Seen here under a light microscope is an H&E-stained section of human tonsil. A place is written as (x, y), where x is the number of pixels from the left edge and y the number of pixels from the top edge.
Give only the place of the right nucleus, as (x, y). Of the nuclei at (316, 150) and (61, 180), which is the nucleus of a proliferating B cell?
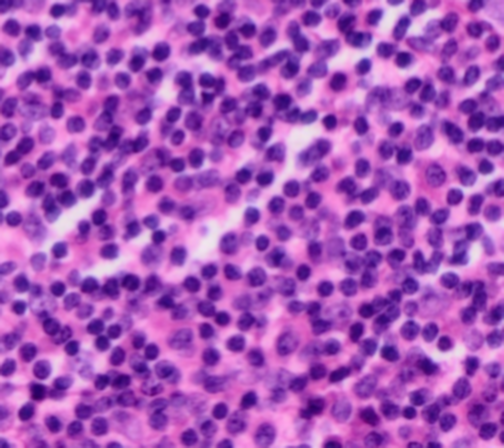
(316, 150)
